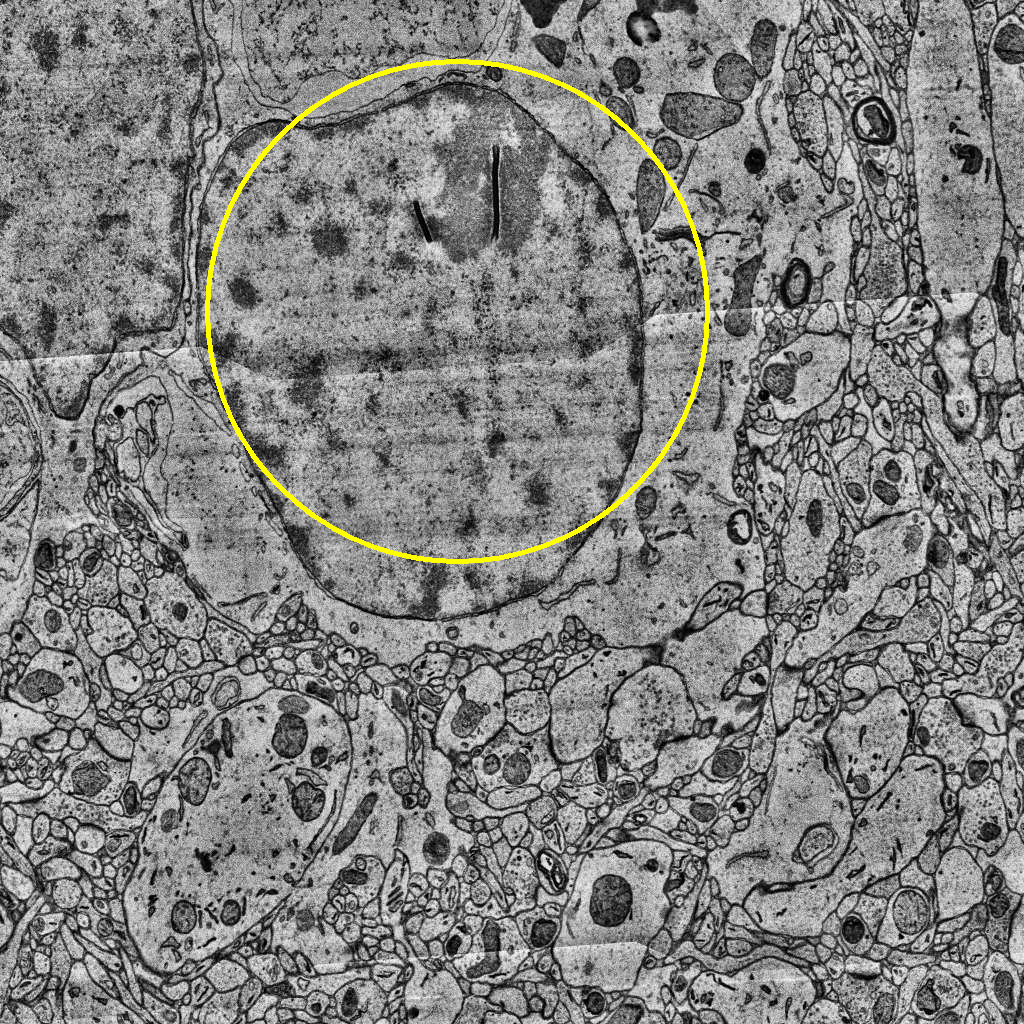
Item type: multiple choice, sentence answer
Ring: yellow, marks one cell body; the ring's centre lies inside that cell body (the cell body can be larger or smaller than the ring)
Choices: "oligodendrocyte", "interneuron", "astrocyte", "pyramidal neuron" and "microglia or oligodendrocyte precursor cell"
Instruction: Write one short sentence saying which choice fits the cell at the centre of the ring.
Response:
The centre of this ring lies on an astrocyte.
